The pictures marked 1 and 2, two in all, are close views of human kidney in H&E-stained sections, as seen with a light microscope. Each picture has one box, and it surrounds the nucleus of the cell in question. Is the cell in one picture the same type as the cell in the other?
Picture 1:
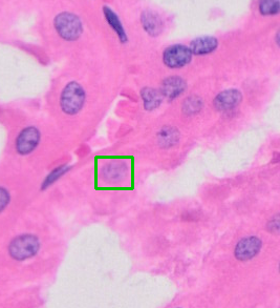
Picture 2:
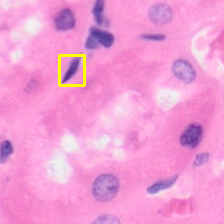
no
